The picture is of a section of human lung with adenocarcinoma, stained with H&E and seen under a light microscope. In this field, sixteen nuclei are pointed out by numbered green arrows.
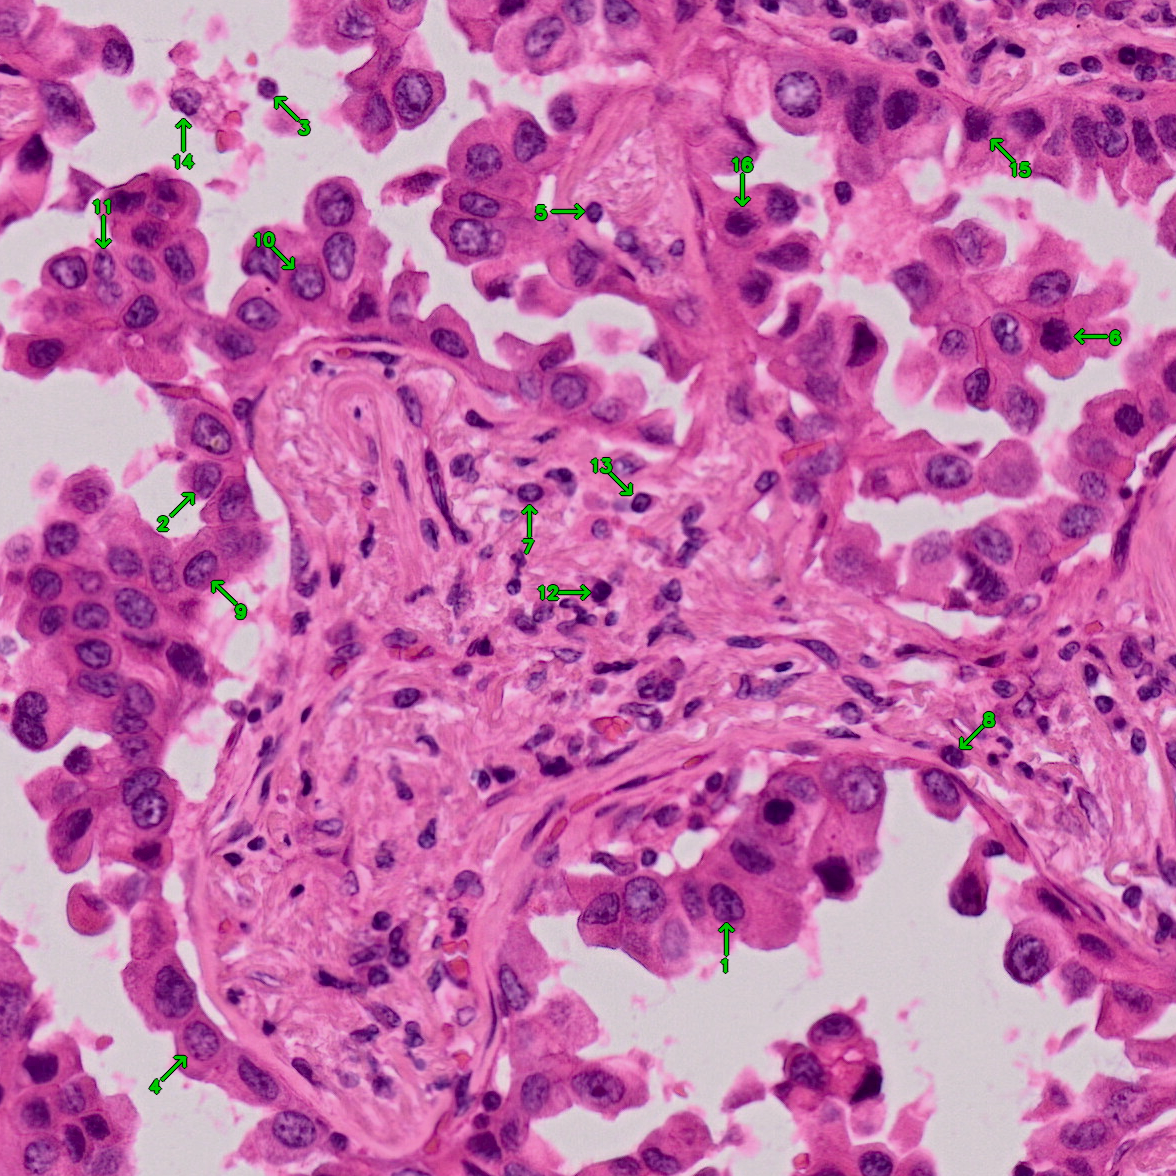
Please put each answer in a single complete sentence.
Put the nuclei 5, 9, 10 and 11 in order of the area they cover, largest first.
Largest first, the order by area is 10, 9, 11, 5.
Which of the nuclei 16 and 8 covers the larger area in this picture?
Of the two, number 16 is bigger and takes up about 2 times the area of number 8.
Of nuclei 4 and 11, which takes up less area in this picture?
Nucleus 11 is the smaller one; nucleus 4 covers about 2.5 times its area.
